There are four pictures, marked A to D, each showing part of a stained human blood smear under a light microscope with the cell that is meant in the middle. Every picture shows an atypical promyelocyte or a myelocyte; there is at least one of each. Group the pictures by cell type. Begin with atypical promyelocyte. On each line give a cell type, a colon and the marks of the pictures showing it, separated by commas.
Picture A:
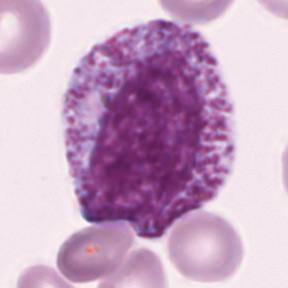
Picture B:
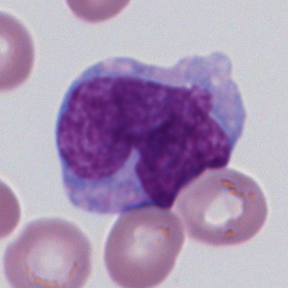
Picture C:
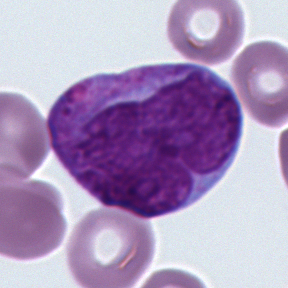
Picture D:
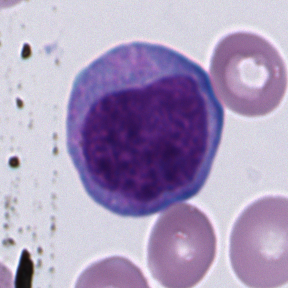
atypical promyelocyte: B, C, D
myelocyte: A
